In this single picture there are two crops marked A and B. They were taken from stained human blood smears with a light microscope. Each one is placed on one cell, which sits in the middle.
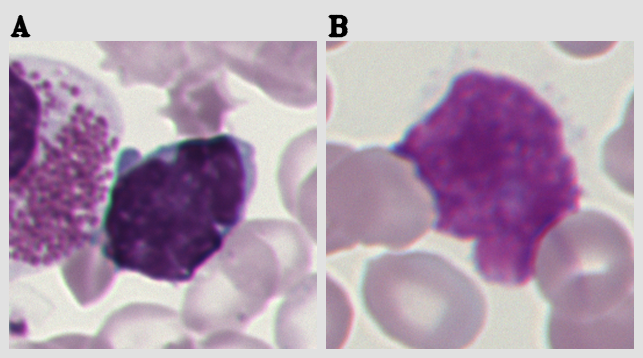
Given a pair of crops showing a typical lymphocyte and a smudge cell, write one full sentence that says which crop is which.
The cell in crop A is a typical lymphocyte; the cell in crop B is a smudge cell.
